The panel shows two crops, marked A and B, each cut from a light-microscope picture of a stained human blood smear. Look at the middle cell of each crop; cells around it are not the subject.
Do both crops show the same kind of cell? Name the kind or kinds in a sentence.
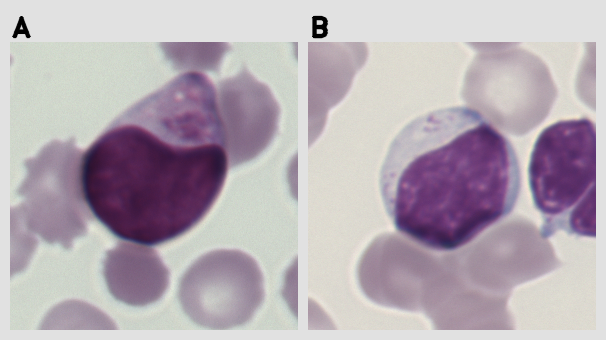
No, crop A carries a blast at its centre, and crop B carries a large granular lymphocyte.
